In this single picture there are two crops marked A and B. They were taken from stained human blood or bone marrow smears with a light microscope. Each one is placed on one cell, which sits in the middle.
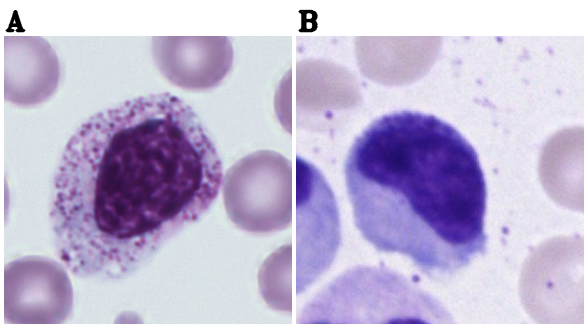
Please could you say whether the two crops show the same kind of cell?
yes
